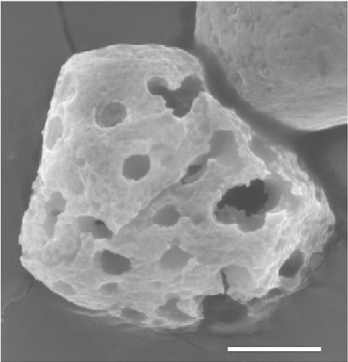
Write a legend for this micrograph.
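This scanning electron micrograph shows an isolated starch granule, angular in outline, whose surface is perforated by many round holes of varying size, some merging into larger irregular openings. The surface between the holes is roughened and eroded, giving the granule a Swiss cheese appearance, while part of a neighbouring granule is seen at the upper right.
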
